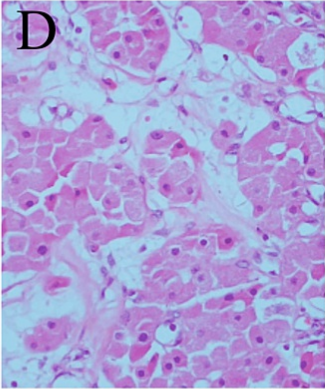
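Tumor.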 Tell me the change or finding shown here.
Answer: Oncocytoma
